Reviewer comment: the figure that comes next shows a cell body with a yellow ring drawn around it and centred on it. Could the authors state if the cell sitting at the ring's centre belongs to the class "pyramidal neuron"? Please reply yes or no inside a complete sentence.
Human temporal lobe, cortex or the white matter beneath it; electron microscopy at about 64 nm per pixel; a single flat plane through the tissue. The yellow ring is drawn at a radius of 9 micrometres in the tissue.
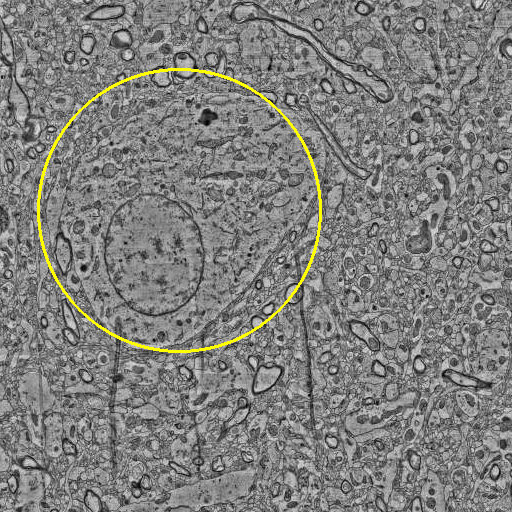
Yes, in the figure, the cell at the ring's centre belongs to that class.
